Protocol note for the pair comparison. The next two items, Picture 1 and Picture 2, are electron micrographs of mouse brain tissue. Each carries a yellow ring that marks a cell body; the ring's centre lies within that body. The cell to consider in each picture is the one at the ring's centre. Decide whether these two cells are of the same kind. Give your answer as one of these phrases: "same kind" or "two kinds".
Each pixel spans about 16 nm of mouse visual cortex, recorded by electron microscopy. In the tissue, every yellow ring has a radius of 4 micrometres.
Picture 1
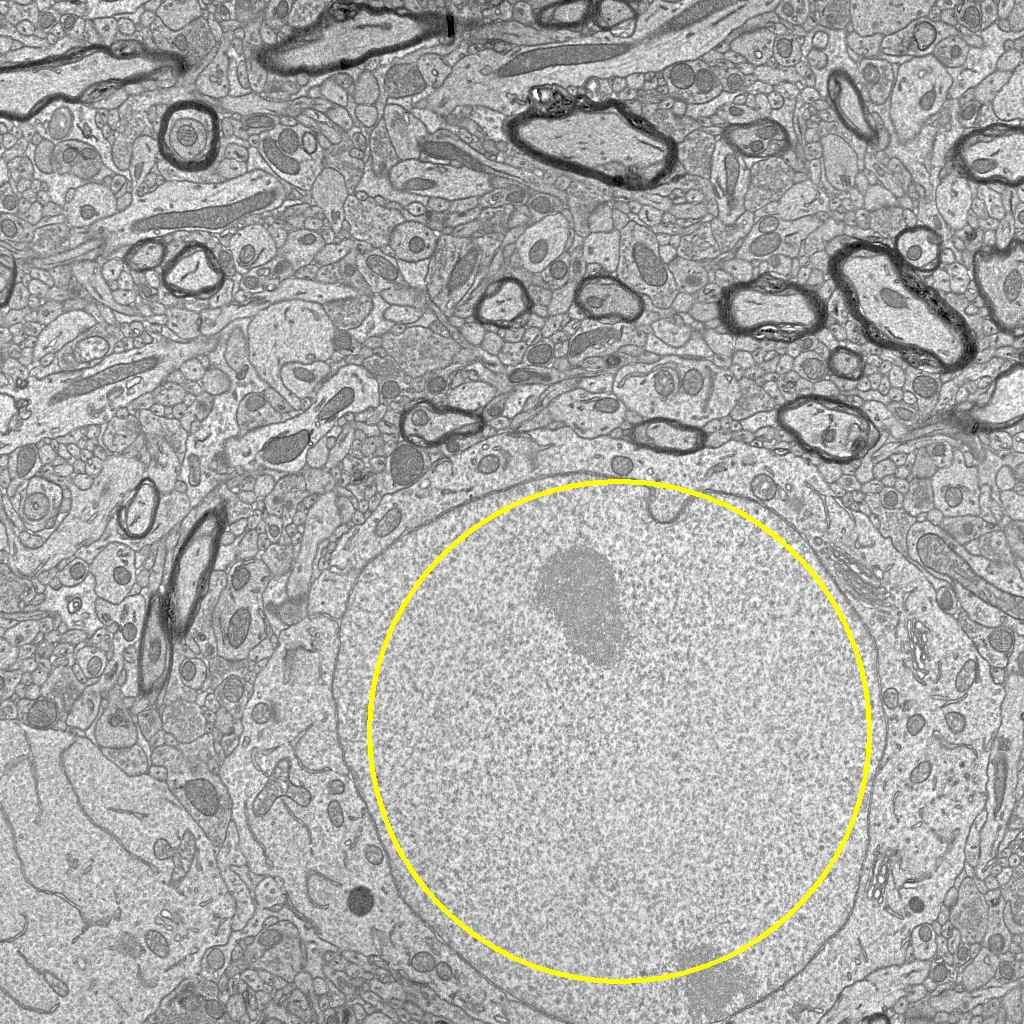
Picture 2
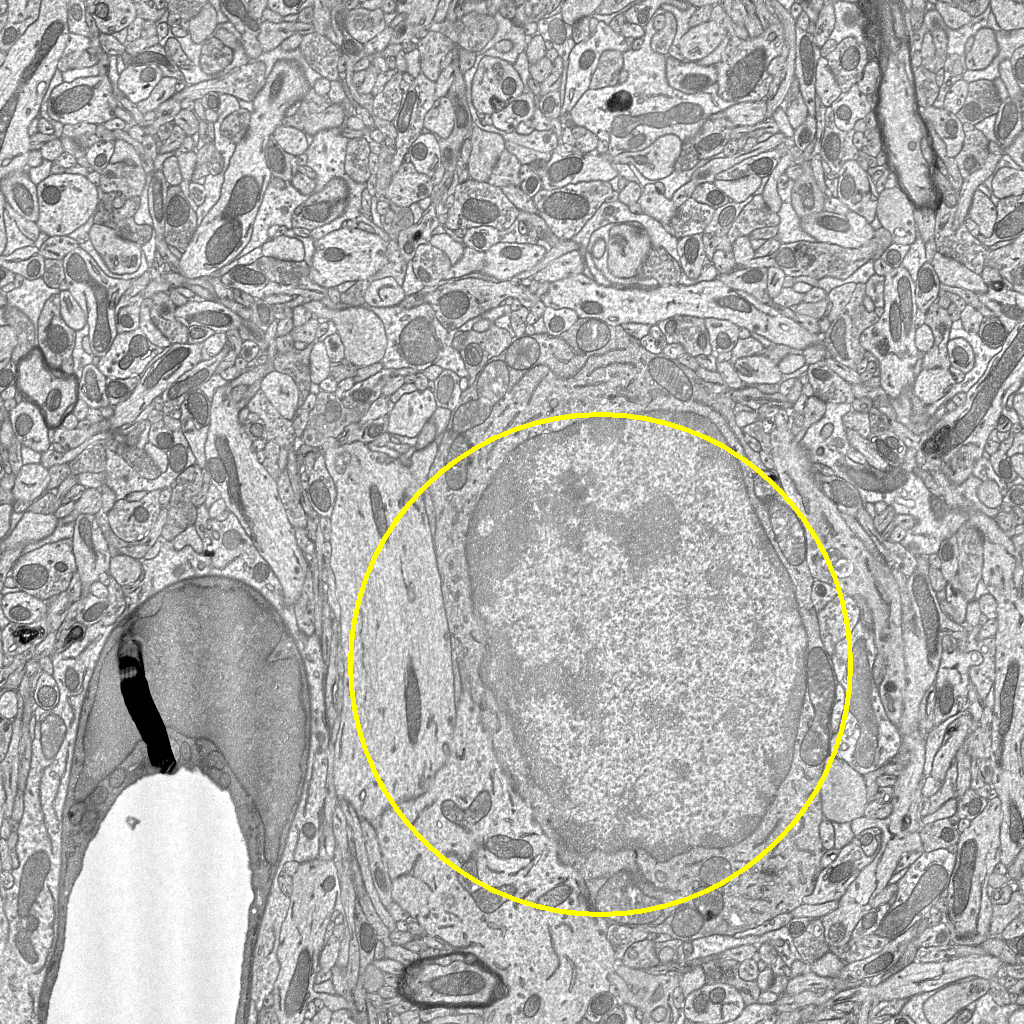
two kinds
